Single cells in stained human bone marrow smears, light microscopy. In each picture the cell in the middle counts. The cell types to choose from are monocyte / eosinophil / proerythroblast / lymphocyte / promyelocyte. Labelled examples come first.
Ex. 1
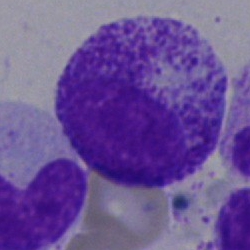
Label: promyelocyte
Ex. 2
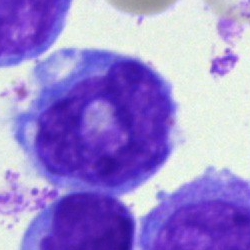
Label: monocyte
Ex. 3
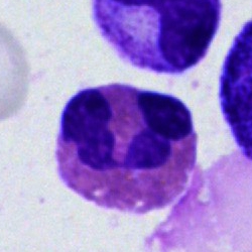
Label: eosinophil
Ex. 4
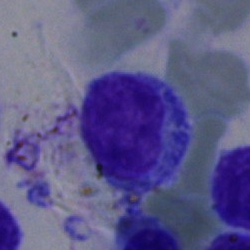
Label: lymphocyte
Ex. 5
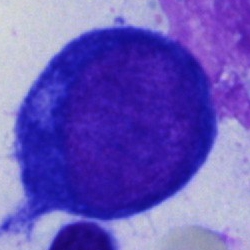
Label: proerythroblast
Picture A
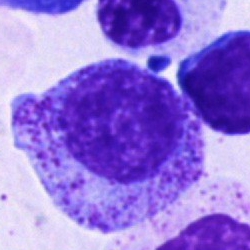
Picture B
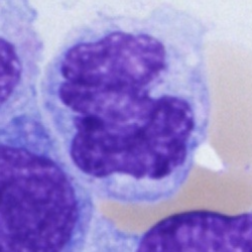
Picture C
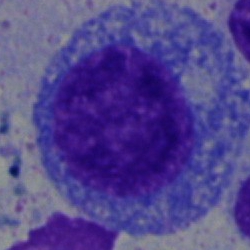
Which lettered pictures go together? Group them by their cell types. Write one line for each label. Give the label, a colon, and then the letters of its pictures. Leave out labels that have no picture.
monocyte: B
promyelocyte: A, C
